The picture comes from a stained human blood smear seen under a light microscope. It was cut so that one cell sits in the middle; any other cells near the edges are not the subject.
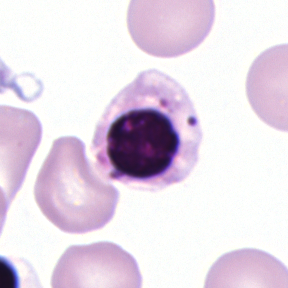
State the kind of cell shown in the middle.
normoblast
